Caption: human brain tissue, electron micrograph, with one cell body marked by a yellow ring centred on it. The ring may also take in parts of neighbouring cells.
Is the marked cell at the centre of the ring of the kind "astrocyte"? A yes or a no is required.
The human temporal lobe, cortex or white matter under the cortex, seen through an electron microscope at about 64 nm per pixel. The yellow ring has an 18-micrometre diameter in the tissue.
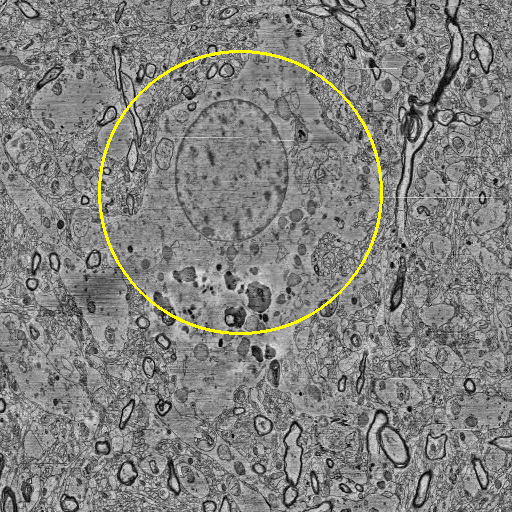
yes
